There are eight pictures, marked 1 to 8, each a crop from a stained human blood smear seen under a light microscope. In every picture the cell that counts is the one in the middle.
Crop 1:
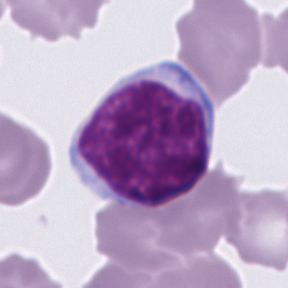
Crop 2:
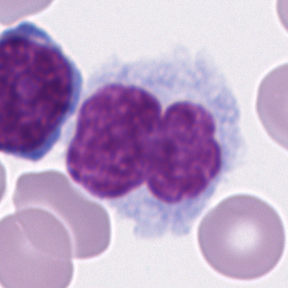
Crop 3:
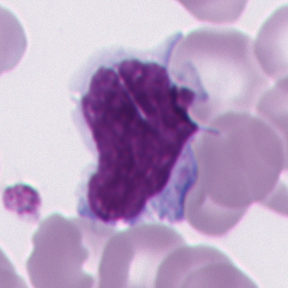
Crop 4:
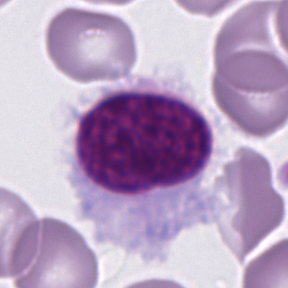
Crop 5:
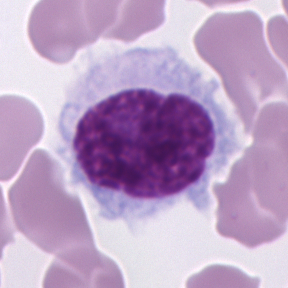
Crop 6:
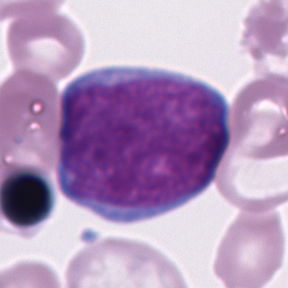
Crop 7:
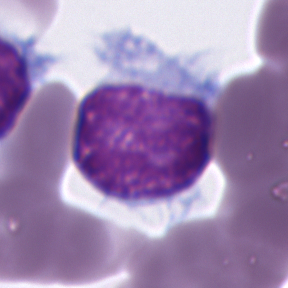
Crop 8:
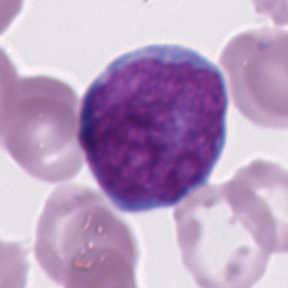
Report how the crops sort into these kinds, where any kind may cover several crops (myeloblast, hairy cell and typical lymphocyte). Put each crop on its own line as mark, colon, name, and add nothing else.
1: typical lymphocyte
2: hairy cell
3: typical lymphocyte
4: hairy cell
5: hairy cell
6: myeloblast
7: hairy cell
8: myeloblast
